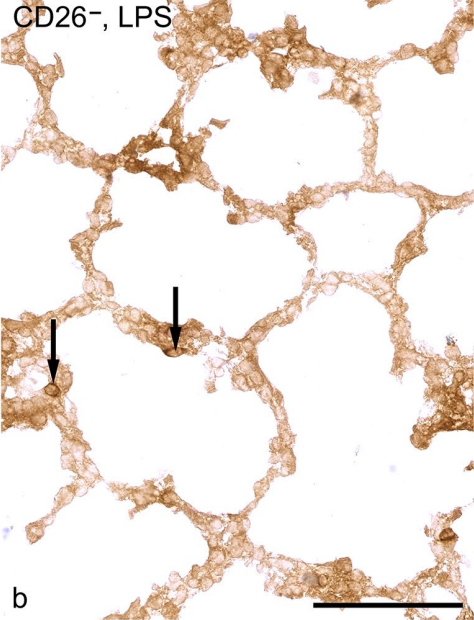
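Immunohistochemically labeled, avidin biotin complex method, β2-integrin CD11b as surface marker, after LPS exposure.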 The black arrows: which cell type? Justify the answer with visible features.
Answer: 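The arrows point to small, rounded, more intensely brown cells lying on the septal walls.
Hence: inflammatory cells.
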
